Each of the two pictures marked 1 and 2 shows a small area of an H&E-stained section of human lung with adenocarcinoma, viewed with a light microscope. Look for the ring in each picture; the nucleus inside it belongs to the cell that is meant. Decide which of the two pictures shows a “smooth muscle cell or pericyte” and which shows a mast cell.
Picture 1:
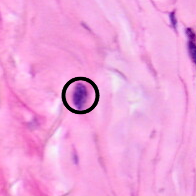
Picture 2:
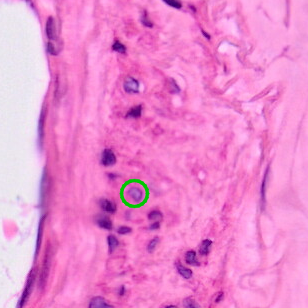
1: mast cell
2: smooth muscle cell or pericyte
